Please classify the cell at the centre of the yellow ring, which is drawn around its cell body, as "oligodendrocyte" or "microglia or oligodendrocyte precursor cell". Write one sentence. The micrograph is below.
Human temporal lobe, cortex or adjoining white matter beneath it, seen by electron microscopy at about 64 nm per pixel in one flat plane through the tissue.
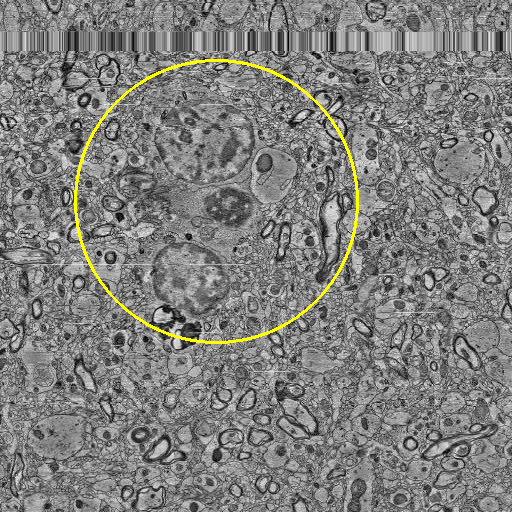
The cell at the ring's centre is classified as an oligodendrocyte.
